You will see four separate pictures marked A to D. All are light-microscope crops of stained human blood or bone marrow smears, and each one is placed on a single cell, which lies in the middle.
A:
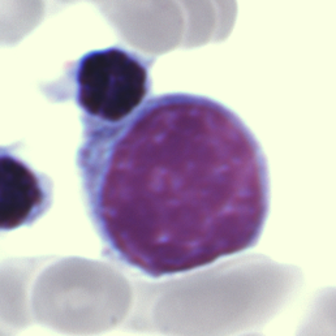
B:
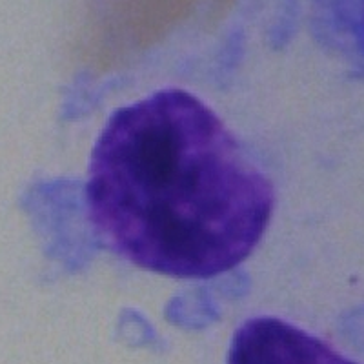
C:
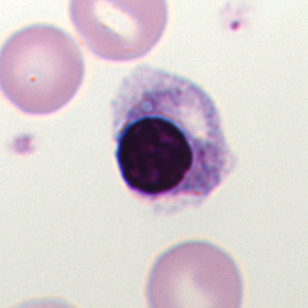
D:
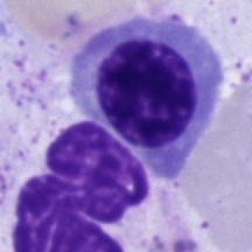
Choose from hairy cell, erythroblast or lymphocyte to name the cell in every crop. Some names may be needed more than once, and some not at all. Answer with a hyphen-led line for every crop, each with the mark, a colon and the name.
- A: lymphocyte
- B: hairy cell
- C: erythroblast
- D: erythroblast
